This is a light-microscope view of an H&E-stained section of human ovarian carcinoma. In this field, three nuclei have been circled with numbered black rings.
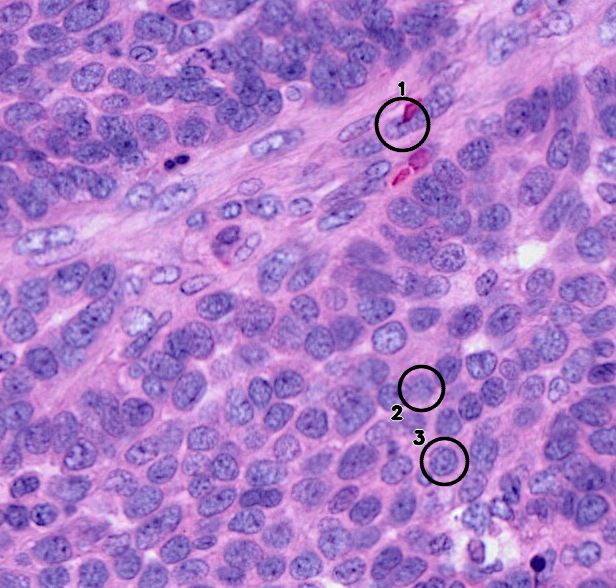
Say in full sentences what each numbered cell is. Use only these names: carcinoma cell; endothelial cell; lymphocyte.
Cell 1 is an endothelial cell. Cells 2 and 3 are carcinoma cells.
